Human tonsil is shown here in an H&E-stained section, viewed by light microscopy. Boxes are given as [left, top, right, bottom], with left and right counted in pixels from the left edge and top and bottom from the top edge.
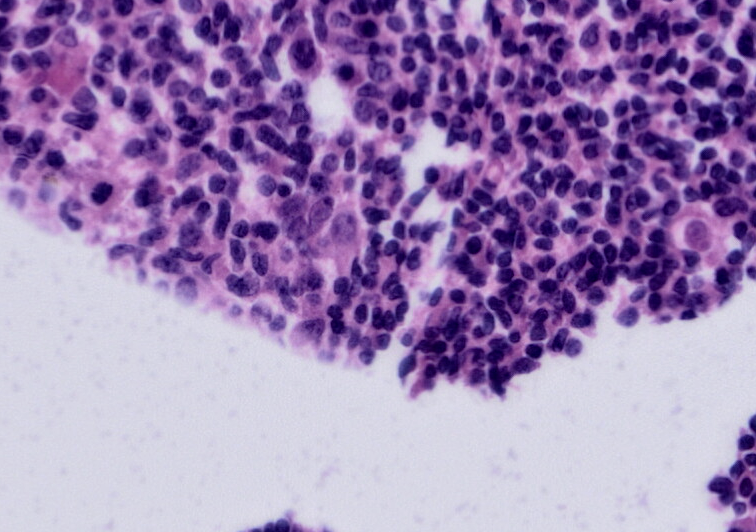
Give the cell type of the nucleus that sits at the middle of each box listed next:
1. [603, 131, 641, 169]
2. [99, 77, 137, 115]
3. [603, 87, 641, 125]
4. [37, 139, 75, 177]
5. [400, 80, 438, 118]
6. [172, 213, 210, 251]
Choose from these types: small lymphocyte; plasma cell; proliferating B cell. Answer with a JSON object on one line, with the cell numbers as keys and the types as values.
{"1": "small lymphocyte", "2": "proliferating B cell", "3": "small lymphocyte", "4": "proliferating B cell", "5": "small lymphocyte", "6": "proliferating B cell"}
